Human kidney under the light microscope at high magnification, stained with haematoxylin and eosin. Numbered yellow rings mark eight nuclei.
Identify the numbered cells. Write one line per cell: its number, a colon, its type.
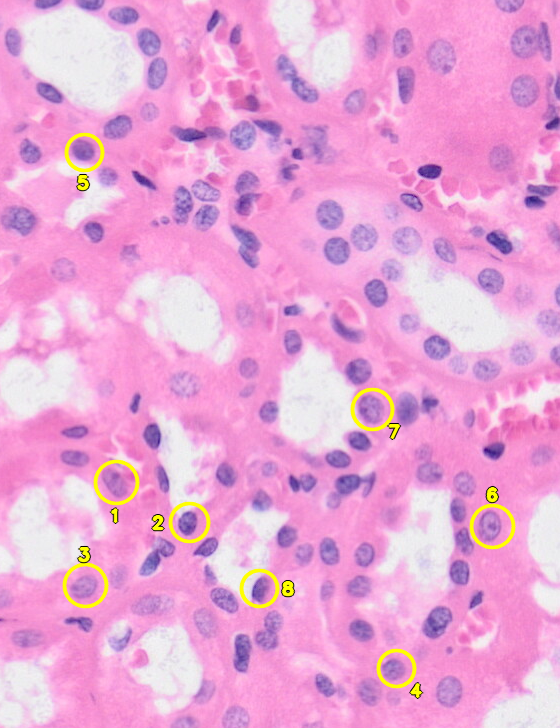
1: proximal tubule cell
2: loop of Henle or distal tubule cell
3: proximal tubule cell
4: loop of Henle or distal tubule cell
5: loop of Henle or distal tubule cell
6: proximal tubule cell
7: loop of Henle or distal tubule cell
8: loop of Henle or distal tubule cell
